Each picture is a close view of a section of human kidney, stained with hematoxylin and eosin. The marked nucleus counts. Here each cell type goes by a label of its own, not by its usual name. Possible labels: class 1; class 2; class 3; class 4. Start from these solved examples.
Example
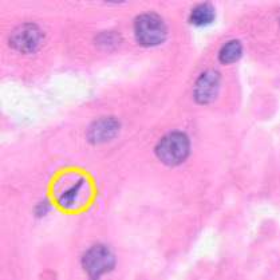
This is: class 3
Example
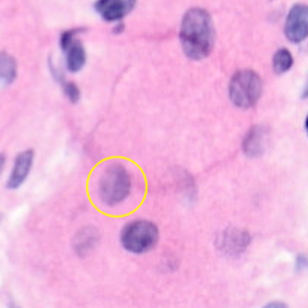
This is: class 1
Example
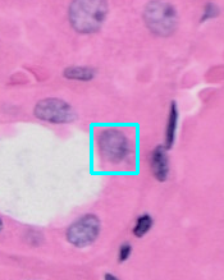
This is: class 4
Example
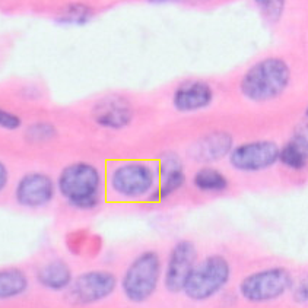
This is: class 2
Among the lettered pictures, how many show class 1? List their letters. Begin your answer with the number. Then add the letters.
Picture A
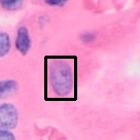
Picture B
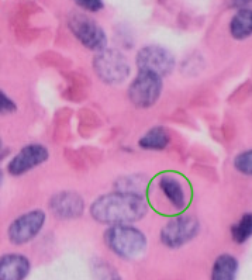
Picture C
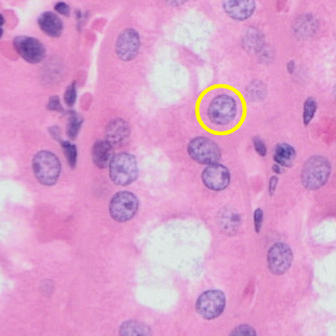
Count: 2 (A, C)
